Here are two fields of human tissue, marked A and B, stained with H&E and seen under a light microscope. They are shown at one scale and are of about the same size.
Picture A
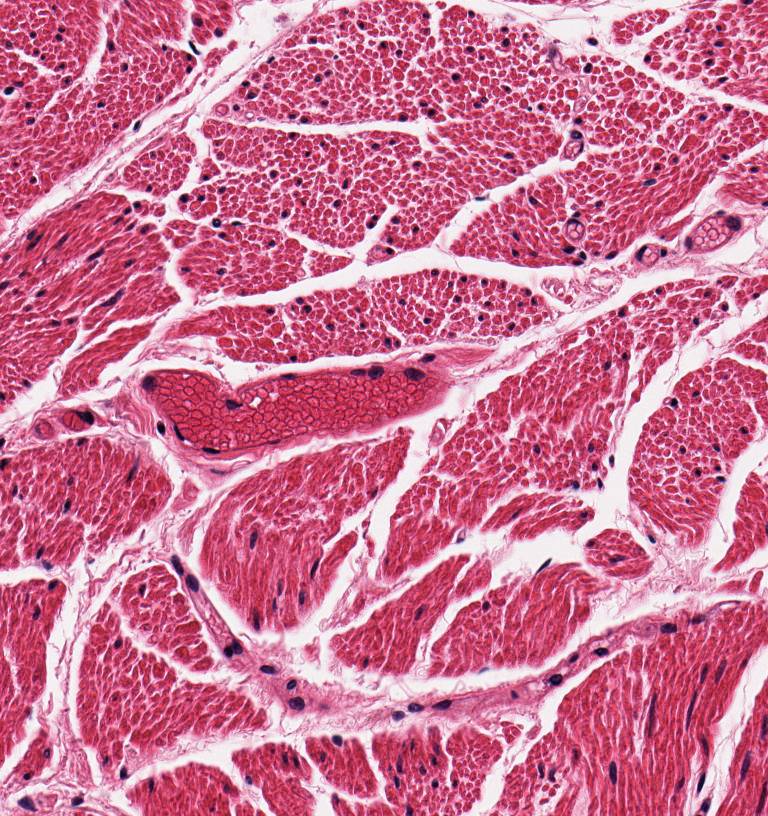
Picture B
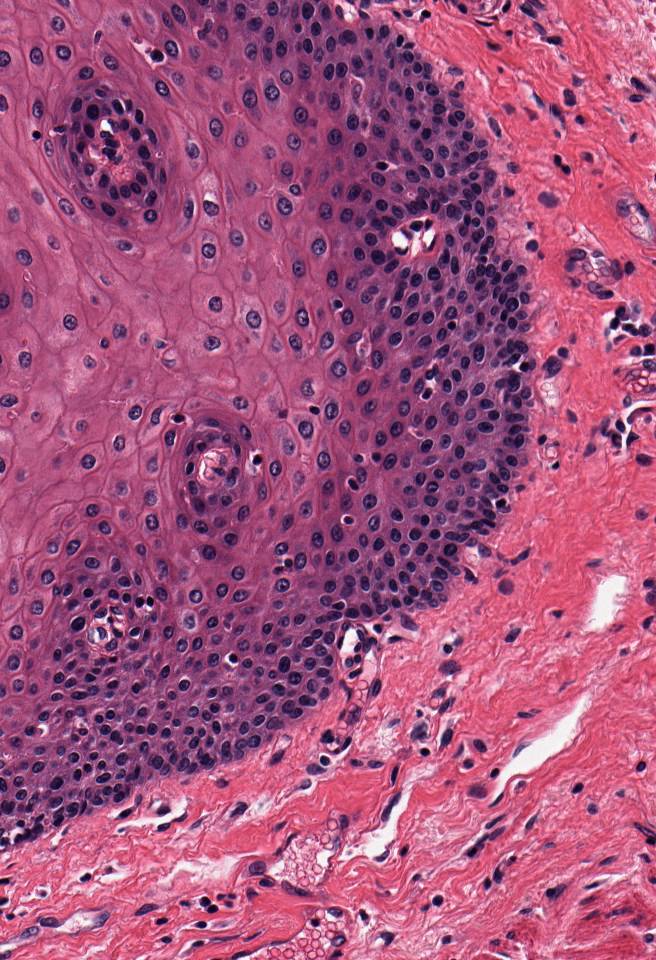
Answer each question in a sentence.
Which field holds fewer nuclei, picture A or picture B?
Fewer nuclei lie in picture A than in picture B.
